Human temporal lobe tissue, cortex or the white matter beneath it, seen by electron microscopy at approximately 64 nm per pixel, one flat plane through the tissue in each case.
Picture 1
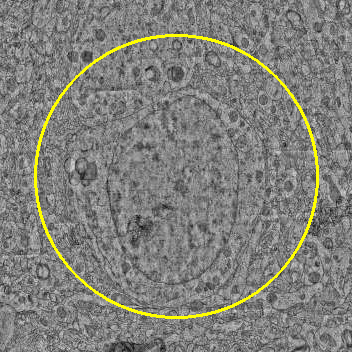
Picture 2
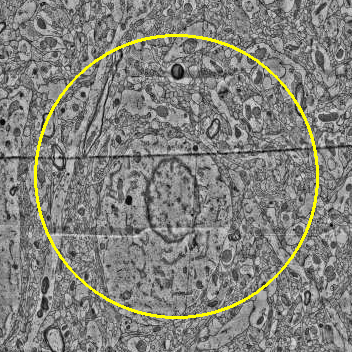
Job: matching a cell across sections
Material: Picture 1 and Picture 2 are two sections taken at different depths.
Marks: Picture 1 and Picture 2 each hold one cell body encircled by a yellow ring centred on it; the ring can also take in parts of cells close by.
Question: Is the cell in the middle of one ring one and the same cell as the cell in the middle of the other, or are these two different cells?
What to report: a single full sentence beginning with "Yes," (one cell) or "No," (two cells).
No, the rings mark two cells rather than a single cell.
